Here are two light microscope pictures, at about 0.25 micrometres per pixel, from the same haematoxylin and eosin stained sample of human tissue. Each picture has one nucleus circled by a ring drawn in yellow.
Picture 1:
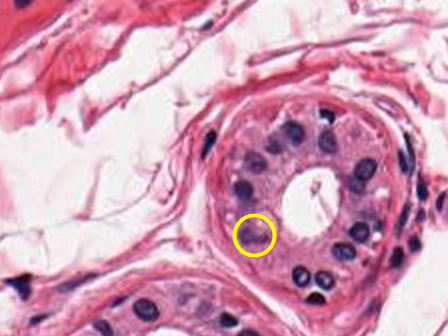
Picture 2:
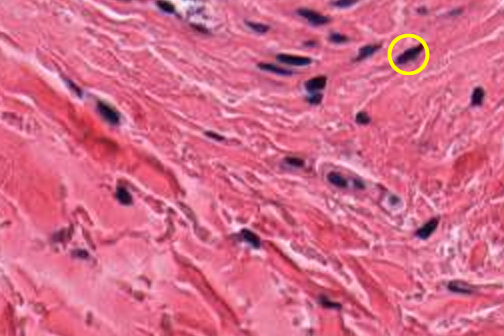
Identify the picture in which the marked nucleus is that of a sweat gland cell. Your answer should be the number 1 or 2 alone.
1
